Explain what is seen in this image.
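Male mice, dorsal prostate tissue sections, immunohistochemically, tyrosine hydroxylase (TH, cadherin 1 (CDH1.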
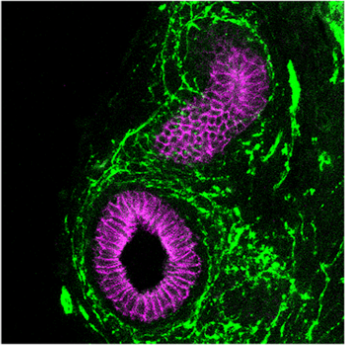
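The ducts are lined by magenta-outlined epithelium made of tightly packed polygonal cells in a honeycomb pattern, one duct showing an open central lumen ringed by radially arranged cells. Thin, branching and beaded green fibers form a dense meshwork that wraps around the ducts and extends into the surrounding tissue, staying outside the epithelium.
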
